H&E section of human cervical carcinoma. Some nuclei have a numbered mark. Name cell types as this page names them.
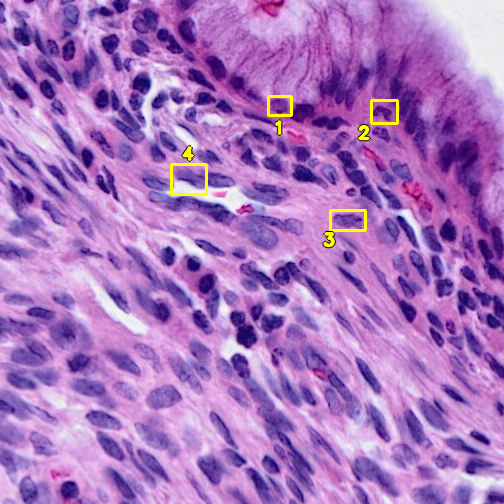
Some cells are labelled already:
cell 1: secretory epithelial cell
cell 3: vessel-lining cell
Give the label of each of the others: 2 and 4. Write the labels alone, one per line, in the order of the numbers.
secretory epithelial cell
vessel-lining cell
